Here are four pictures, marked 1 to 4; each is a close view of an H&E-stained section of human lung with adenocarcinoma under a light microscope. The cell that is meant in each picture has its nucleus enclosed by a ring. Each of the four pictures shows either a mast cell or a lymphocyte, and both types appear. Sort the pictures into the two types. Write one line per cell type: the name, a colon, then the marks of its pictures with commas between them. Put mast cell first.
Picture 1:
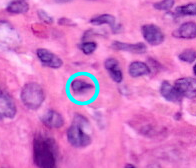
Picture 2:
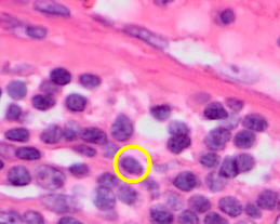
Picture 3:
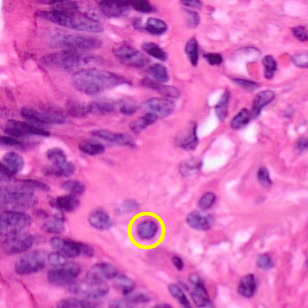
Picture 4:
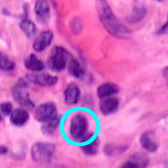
mast cell: 3
lymphocyte: 1, 2, 4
